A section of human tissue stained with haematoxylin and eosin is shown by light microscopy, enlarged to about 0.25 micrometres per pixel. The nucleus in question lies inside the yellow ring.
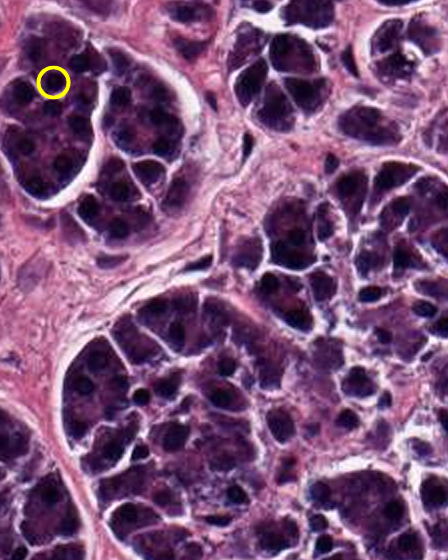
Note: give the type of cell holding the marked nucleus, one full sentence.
The marked nucleus is a nucleus of a pancreatic acinar cell.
